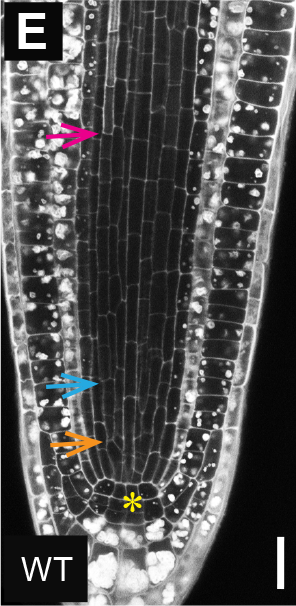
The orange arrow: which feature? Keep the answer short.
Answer: Periclinal division.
